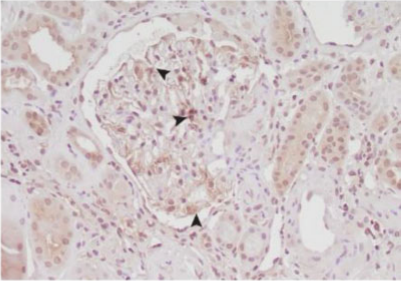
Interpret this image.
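A glomerulus fills the centre, packed with many blue nuclei and showing patchy granular brown deposits within the tuft. Around it lie tubules with brownish cytoplasm, and the interstitium between them holds scattered small blue nuclei.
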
